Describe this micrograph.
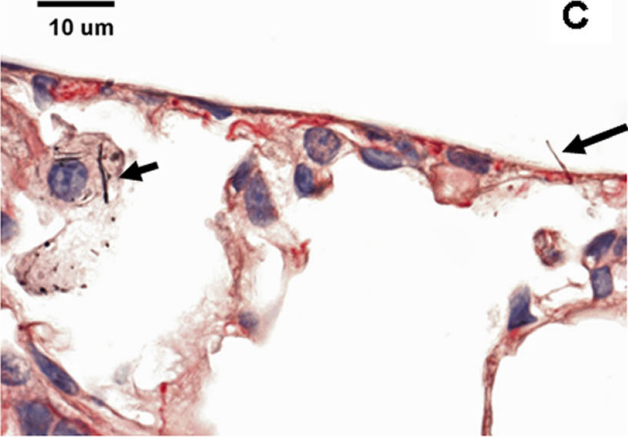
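This section shows lung tissue just beneath the visceral pleura, with alveoli and an alveolar macrophage. Along the top runs a thin surface layer of flattened cells with elongated dark blue nuclei over a red-stained band. Below it, thin red-stained alveolar walls with scattered blue nuclei enclose large clear airspaces. On the left, a large rounded macrophage lies in an airspace, with a round blue nucleus and pale, finely granular cytoplasm that holds a thin dark rod and small dark particles. At the right, a thin dark needle-like fibre crosses the pleural surface and projects above it.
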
